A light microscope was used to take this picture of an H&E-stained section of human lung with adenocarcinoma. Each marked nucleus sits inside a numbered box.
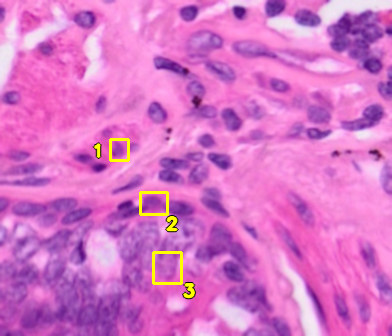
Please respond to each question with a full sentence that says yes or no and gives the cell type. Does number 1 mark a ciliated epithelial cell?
No, it is a smooth muscle cell or pericyte, rather than a ciliated epithelial cell, that carries number 1.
